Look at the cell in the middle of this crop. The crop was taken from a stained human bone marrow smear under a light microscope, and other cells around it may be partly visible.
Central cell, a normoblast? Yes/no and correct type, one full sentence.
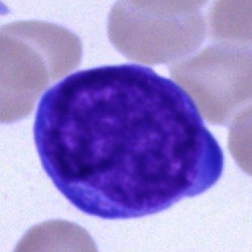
No, the central cell is identified not as a normoblast but as a blast.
